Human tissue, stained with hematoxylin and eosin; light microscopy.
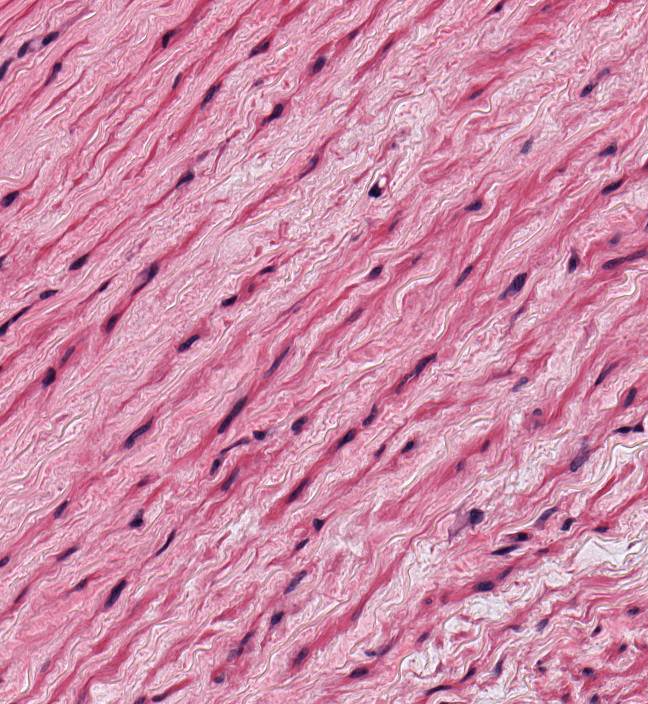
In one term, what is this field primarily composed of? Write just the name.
tunica media of an artery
